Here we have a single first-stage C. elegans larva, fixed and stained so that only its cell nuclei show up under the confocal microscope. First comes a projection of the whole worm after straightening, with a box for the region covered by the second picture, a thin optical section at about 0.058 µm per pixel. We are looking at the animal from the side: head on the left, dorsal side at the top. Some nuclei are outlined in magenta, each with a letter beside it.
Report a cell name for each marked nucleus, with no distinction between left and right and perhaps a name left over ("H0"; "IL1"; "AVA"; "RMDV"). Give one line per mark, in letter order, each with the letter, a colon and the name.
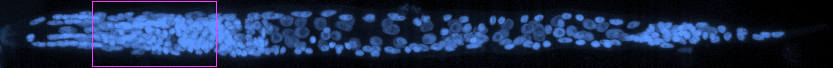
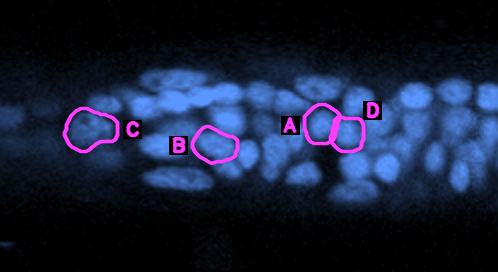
A: RMDV
B: IL1
C: H0
D: AVA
